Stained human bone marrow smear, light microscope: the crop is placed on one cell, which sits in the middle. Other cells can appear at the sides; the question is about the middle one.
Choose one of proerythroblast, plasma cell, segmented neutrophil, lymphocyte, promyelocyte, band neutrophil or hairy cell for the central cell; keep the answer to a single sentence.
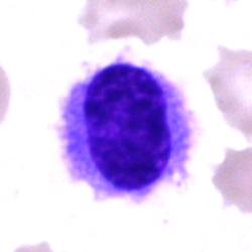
The cell at the middle of the crop is recognized as a hairy cell.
